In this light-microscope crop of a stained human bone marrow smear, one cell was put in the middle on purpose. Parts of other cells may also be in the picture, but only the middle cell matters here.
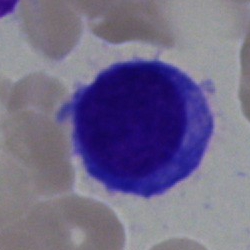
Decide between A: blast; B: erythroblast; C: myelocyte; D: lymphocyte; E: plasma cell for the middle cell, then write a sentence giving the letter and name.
The best answer is option E, since the cell in the middle is a plasma cell.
